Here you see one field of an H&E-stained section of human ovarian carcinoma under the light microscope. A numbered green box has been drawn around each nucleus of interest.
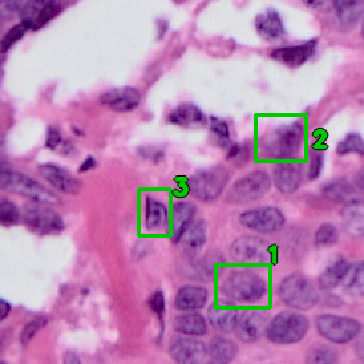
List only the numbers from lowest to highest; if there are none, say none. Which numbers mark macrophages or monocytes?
3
